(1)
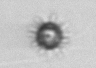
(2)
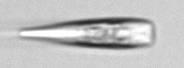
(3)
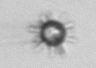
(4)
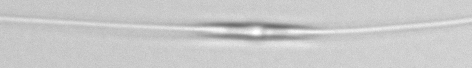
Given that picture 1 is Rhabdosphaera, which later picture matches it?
3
